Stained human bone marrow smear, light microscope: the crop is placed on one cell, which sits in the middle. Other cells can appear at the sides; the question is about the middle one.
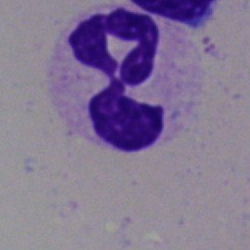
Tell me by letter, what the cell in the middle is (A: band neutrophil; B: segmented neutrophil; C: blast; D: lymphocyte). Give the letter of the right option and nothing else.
B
